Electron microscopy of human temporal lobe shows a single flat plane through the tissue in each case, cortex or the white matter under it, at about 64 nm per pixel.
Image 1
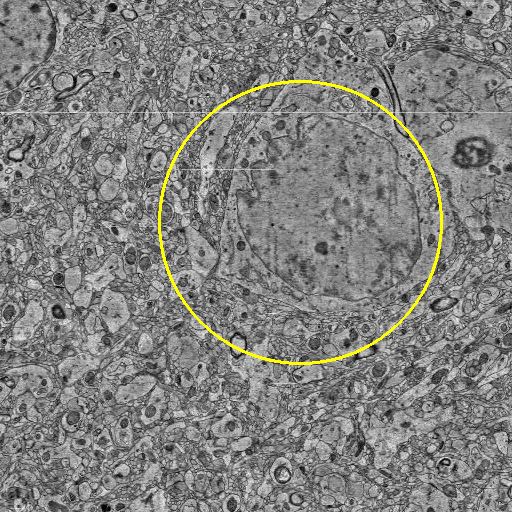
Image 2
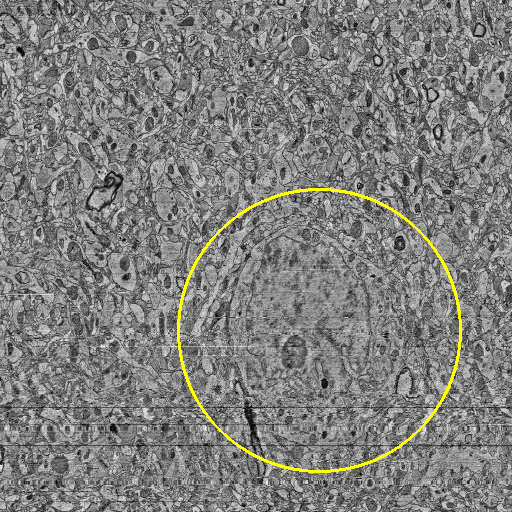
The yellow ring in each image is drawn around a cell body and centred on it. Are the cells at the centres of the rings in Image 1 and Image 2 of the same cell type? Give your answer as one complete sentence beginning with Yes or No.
Yes, both cells are of the same type.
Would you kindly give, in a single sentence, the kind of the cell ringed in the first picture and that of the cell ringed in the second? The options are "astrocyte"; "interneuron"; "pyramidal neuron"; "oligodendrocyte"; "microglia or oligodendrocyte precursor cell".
The ring centre holds an interneuron in each of the two pictures.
